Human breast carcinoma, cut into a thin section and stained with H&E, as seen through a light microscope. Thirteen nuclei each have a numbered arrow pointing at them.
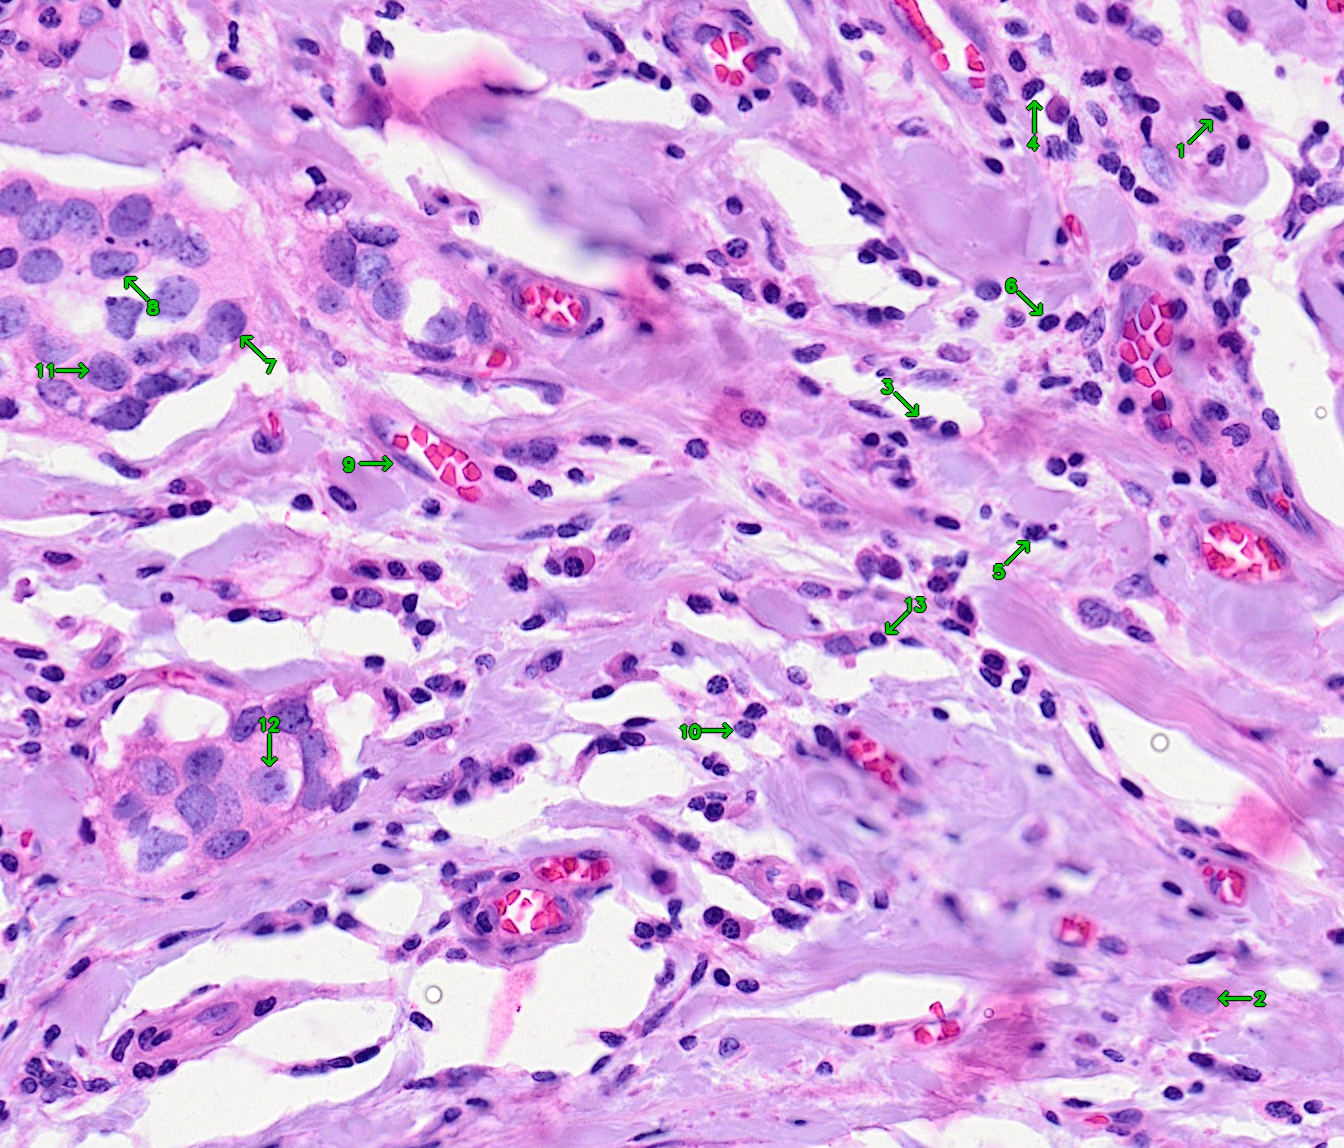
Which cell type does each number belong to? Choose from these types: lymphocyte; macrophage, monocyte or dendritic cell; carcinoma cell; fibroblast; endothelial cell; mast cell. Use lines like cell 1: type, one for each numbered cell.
cell 1: lymphocyte
cell 2: endothelial cell
cell 3: lymphocyte
cell 4: lymphocyte
cell 5: lymphocyte
cell 6: lymphocyte
cell 7: carcinoma cell
cell 8: carcinoma cell
cell 9: endothelial cell
cell 10: lymphocyte
cell 11: carcinoma cell
cell 12: carcinoma cell
cell 13: lymphocyte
